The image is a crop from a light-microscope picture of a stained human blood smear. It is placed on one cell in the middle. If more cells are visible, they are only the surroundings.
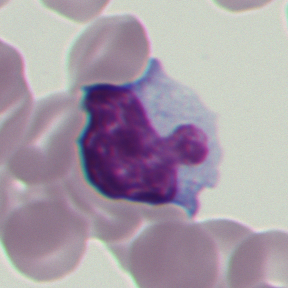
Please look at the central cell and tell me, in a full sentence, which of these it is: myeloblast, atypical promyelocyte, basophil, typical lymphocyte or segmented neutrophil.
Framed in the middle of the crop is a typical lymphocyte.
